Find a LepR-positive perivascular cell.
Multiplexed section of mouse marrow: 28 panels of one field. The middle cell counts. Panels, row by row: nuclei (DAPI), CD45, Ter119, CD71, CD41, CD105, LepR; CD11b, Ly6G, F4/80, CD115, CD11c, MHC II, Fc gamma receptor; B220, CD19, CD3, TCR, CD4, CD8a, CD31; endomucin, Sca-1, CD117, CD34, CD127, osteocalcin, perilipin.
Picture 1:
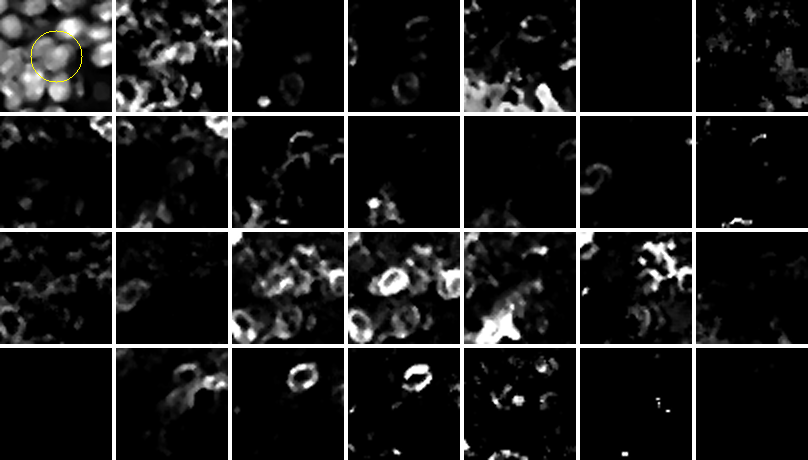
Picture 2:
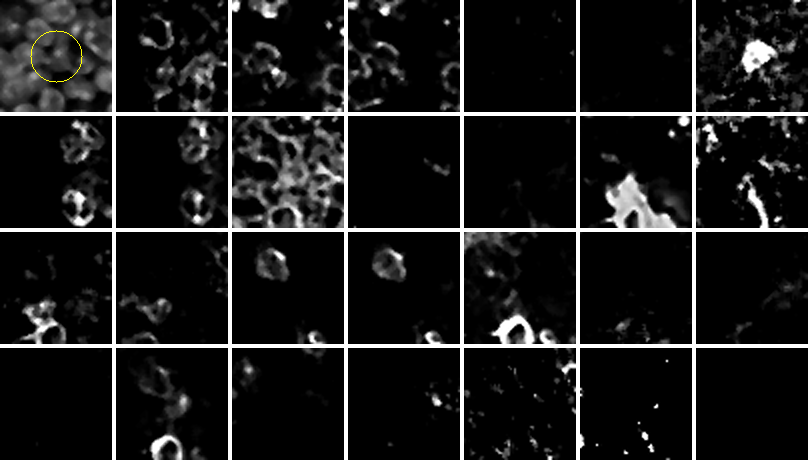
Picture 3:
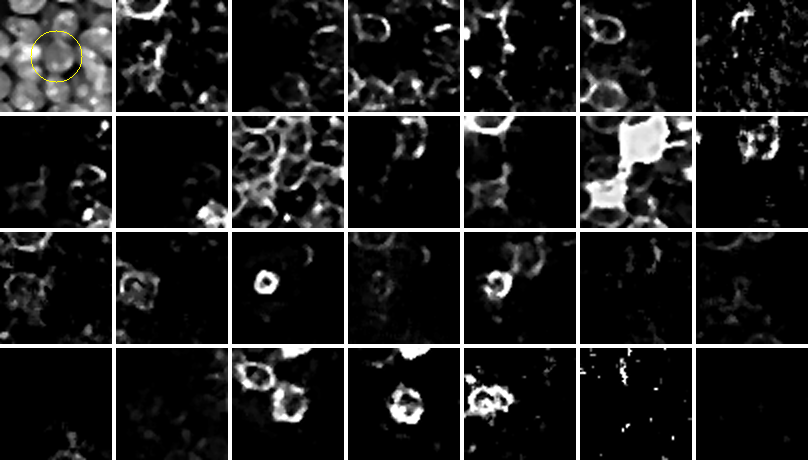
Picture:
2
